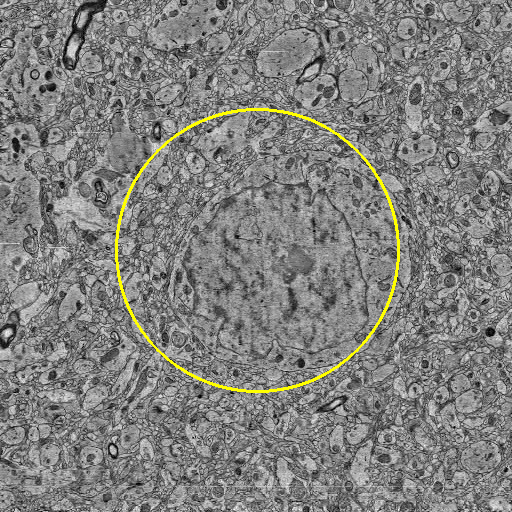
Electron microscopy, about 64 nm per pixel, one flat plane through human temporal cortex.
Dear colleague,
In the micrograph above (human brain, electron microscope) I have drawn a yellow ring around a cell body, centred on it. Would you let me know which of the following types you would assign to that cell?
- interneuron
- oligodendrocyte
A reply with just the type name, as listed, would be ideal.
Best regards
interneuron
